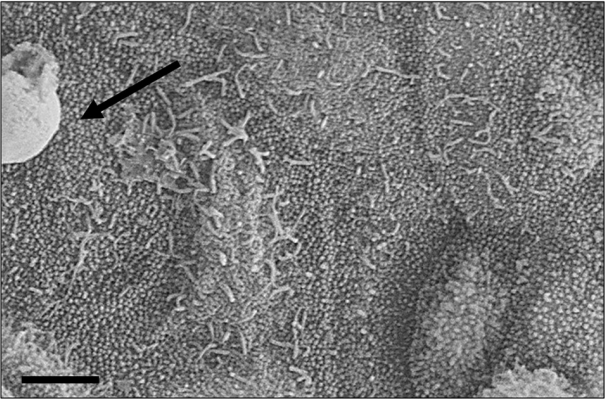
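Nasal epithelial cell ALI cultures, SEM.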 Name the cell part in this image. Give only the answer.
Microvilli.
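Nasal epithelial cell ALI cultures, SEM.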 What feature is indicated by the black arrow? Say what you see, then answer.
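A smooth rounded body at the left edge rests on the surface. It is much larger than the surrounding surface projections. That points to this answer: mucus globules.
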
